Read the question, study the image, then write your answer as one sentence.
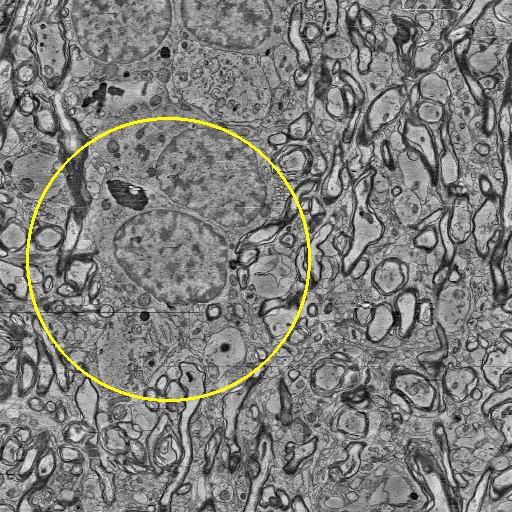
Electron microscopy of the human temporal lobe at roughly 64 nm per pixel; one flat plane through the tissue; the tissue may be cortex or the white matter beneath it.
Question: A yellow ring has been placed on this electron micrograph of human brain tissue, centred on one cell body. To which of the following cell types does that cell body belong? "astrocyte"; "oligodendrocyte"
That cell body belongs to an oligodendrocyte.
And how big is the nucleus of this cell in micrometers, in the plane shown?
In this plane the nucleus spans approximately 8 by 6 micrometers.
